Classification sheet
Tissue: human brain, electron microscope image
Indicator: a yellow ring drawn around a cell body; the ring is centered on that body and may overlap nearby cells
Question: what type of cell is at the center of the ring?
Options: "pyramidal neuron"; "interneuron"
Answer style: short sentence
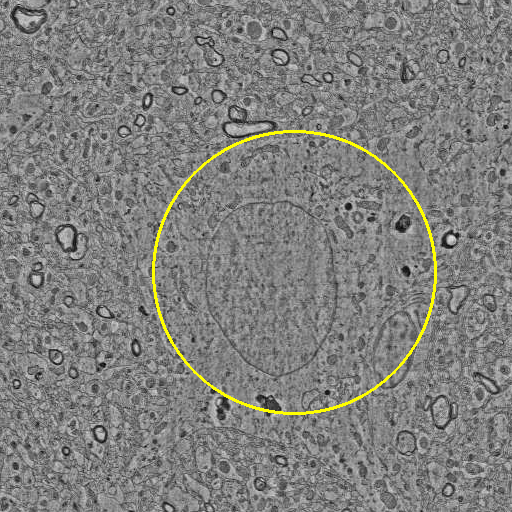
At the ring's center is a pyramidal neuron.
